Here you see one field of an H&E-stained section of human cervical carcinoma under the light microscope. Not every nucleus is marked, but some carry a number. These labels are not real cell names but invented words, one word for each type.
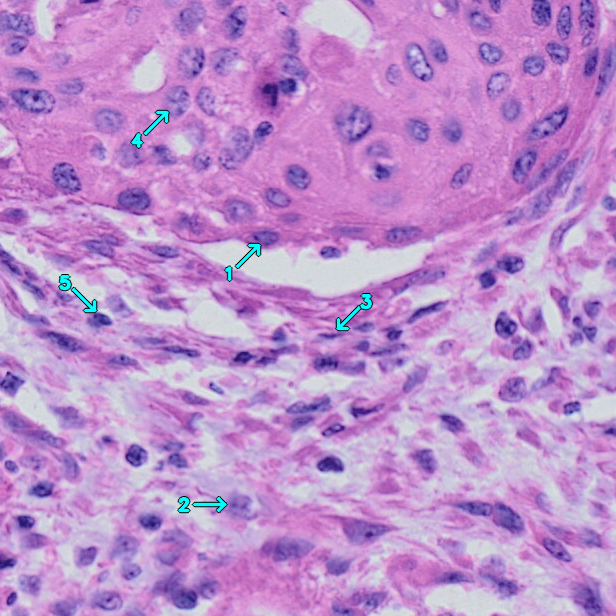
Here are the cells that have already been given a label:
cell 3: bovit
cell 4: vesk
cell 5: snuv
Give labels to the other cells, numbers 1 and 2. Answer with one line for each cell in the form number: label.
1: vesk
2: bovit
